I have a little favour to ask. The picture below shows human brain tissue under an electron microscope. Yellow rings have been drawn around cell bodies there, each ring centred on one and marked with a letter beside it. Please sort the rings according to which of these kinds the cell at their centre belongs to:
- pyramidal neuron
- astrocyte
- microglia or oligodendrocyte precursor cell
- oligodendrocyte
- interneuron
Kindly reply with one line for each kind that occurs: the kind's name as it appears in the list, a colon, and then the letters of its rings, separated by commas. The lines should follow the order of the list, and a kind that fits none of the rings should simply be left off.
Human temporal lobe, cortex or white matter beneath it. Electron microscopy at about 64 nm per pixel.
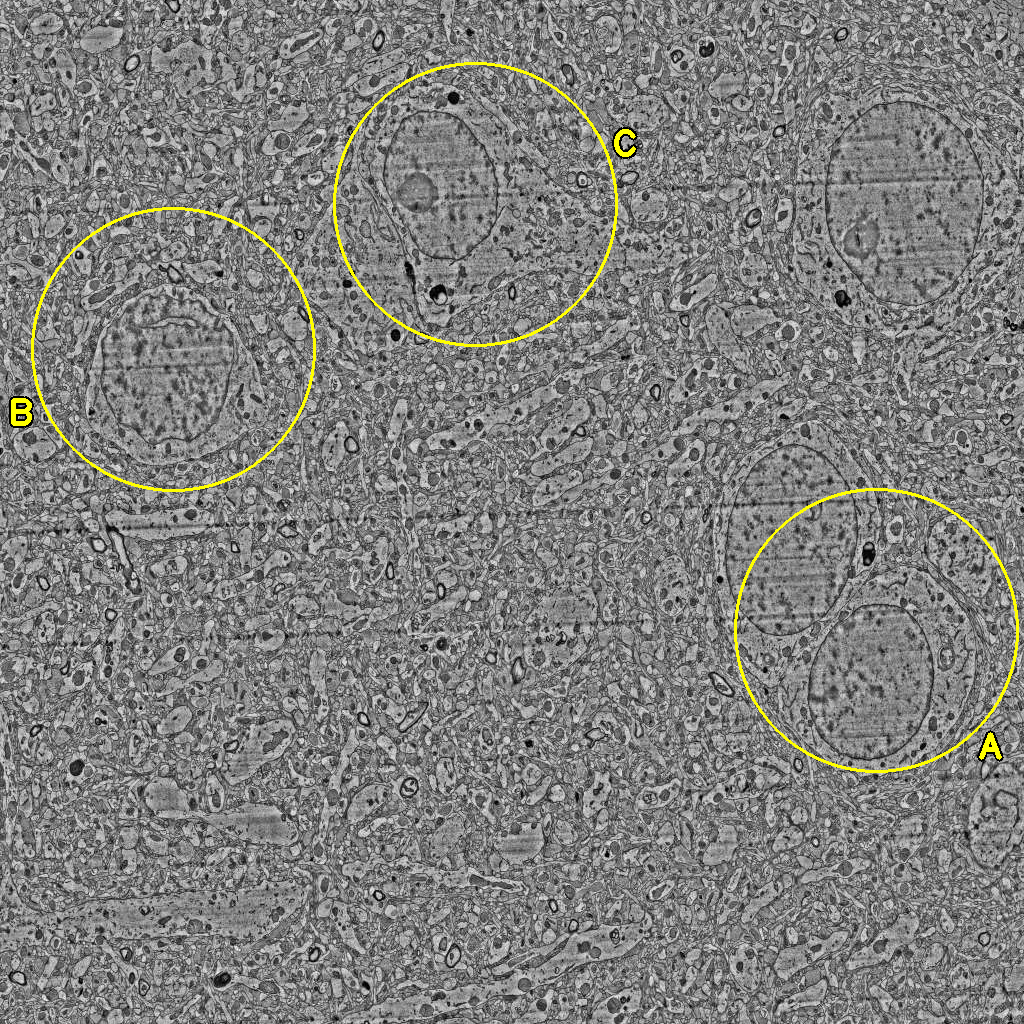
pyramidal neuron: A, C
interneuron: B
